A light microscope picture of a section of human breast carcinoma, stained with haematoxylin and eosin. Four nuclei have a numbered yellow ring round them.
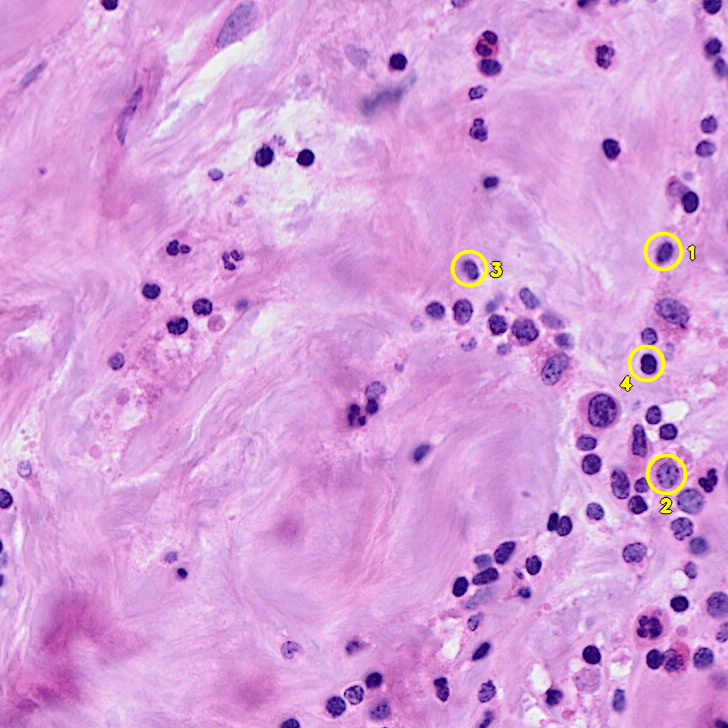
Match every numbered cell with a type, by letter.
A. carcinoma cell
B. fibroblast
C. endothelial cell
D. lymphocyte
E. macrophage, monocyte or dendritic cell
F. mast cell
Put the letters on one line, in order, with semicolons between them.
D; F; D; D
